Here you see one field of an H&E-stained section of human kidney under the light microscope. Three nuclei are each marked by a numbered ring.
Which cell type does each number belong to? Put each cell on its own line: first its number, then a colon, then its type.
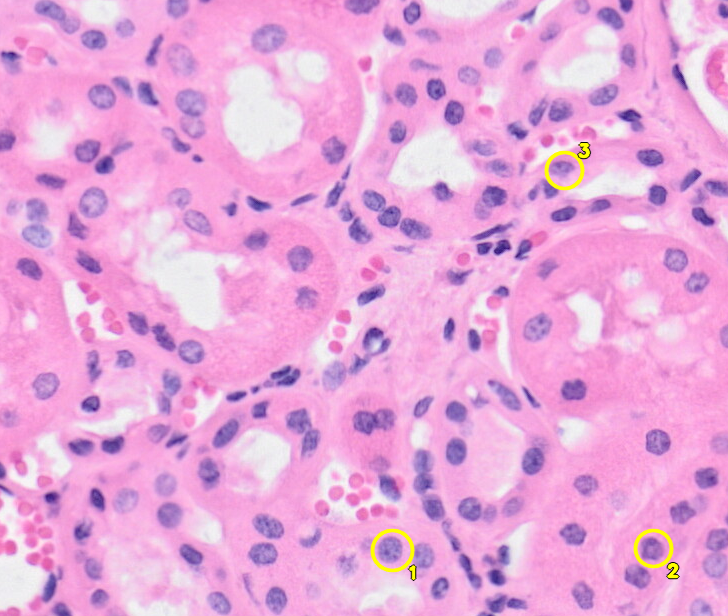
1: collecting duct cell
2: proximal tubule cell
3: collecting duct cell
